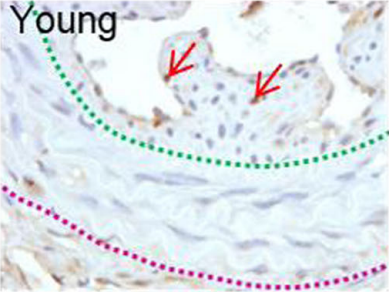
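The neointima holds many blue oval and spindle nuclei, a few of them stained brown. Loose adventitial tissue lies outside the media.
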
